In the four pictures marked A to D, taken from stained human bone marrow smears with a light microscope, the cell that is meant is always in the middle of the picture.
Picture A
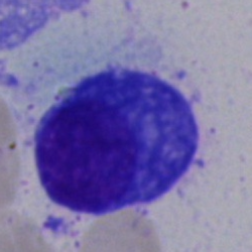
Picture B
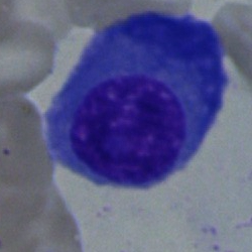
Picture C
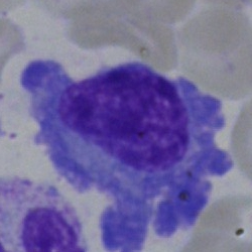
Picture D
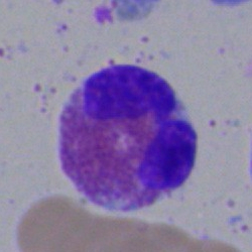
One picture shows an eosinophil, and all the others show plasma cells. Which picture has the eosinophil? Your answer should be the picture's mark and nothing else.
D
